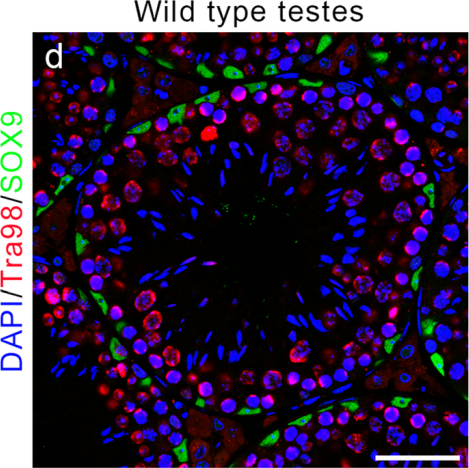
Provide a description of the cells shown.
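A seminiferous tubule cross-section contains many germ cells arranged in several layers from the wall toward the lumen. Most of these cells have round nuclei labelled red, some brightly so. Toward the lumen lie small, elongated blue nuclei. Parts of neighbouring tubules with a similar layered pattern appear at the edges.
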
